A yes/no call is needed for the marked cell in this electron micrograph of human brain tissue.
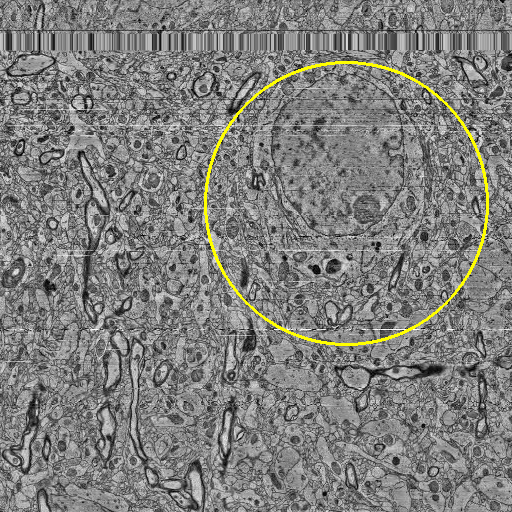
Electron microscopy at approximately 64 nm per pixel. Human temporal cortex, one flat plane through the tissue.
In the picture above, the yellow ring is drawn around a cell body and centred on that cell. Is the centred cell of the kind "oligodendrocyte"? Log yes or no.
no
